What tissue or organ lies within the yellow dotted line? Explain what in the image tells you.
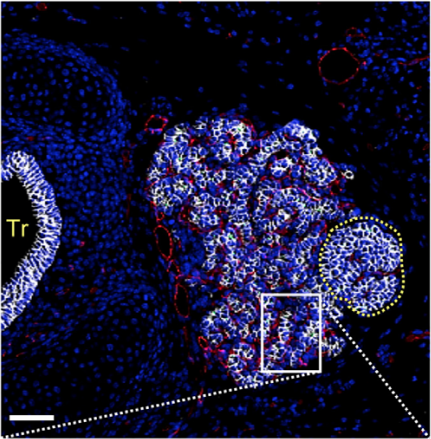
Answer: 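The yellow dotted line encloses a small round compact cluster of epithelial cells at the edge of a larger gland. The enclosed cluster lacks the cord-like lobulation and red vessels of the larger mass beside it.
Conclusion: parathyroid gland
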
